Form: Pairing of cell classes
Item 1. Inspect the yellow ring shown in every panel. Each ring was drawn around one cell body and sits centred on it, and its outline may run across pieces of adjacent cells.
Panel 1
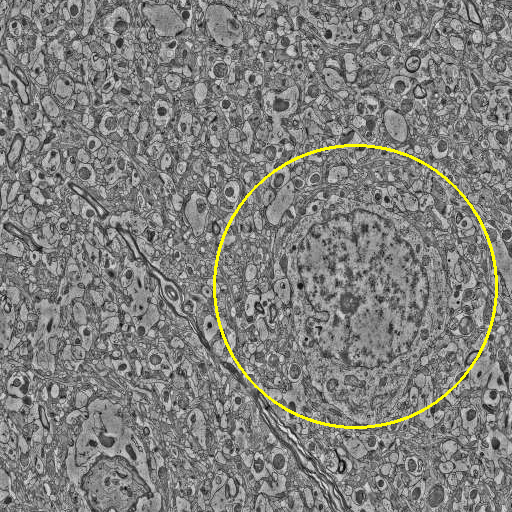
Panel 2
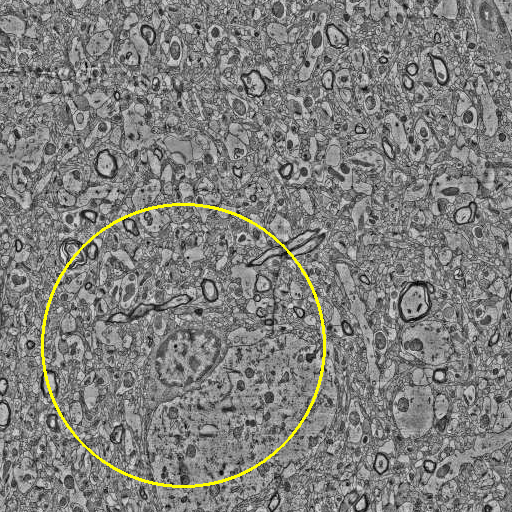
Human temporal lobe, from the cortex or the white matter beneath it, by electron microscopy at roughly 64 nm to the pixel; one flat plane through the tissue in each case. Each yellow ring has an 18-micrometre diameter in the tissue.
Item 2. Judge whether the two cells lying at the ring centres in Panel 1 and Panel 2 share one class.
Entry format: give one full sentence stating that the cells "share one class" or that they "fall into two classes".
The cells at the ring centres in Panel 1 and Panel 2 fall into two classes.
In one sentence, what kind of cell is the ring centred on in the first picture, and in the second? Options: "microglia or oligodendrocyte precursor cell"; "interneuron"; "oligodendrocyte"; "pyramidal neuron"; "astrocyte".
The cell at the centre of the second ring is an oligodendrocyte; the first ring's cell is an interneuron.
